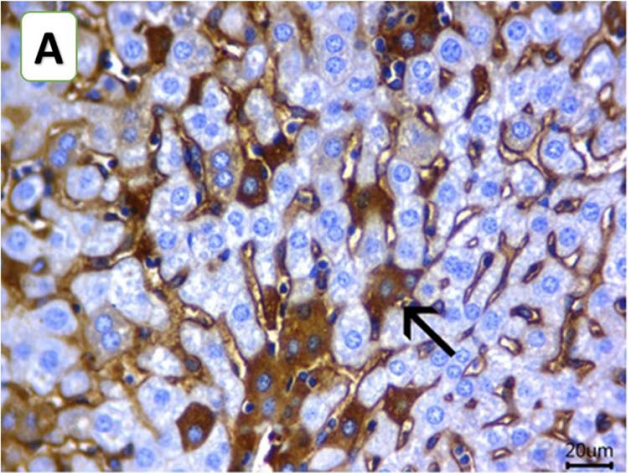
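This is liver tissue in which hepatocyte cords radiate between brown-outlined sinusoids. Most hepatocytes have pale cytoplasm and round blue nuclei placed centrally. Scattered hepatocytes, singly or in small groups, have cytoplasm stained a moderate to dark brown. The sinusoidal spaces between the cords are lined by brown-edged borders with small dark flattened nuclei. Overall the brown reaction is patchy rather than spread across the whole field.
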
